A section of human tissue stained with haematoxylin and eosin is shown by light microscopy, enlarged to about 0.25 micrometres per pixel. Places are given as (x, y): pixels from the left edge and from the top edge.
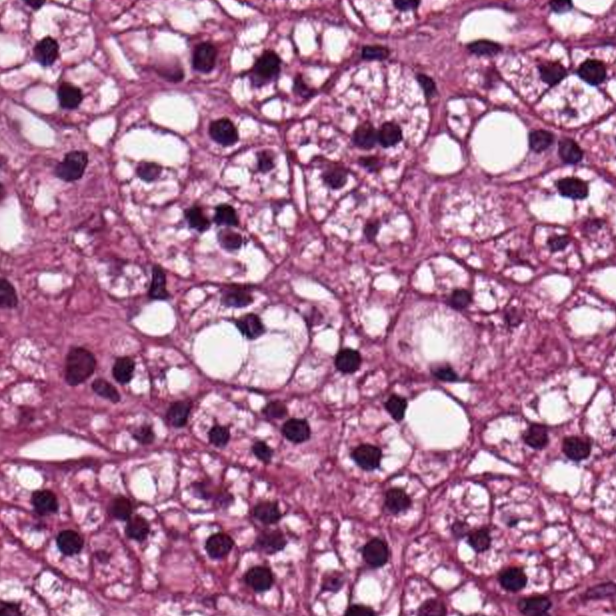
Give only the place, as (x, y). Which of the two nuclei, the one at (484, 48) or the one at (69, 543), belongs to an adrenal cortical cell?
(69, 543)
